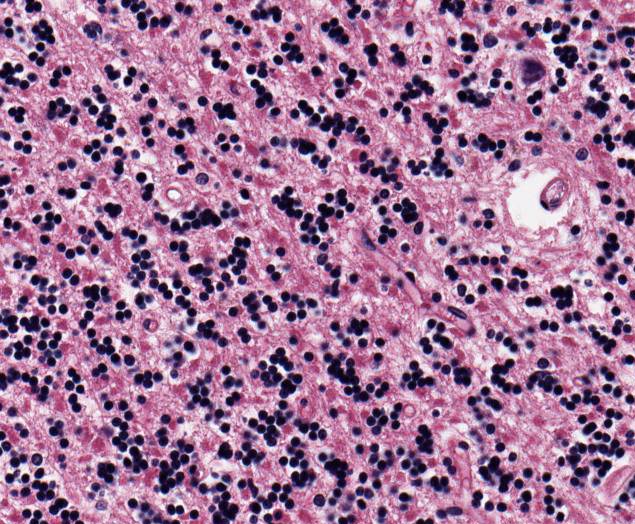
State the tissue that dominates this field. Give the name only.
granular layer of the cerebellum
